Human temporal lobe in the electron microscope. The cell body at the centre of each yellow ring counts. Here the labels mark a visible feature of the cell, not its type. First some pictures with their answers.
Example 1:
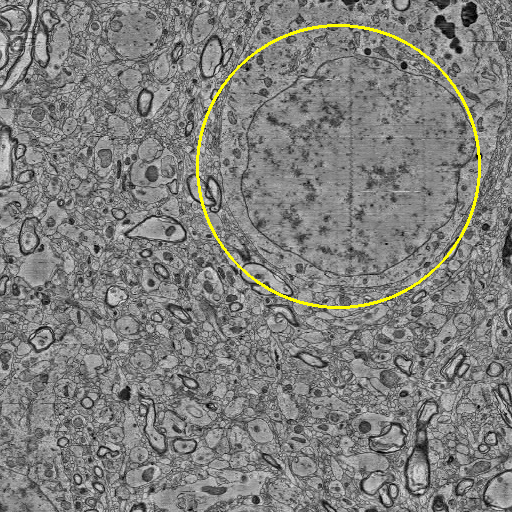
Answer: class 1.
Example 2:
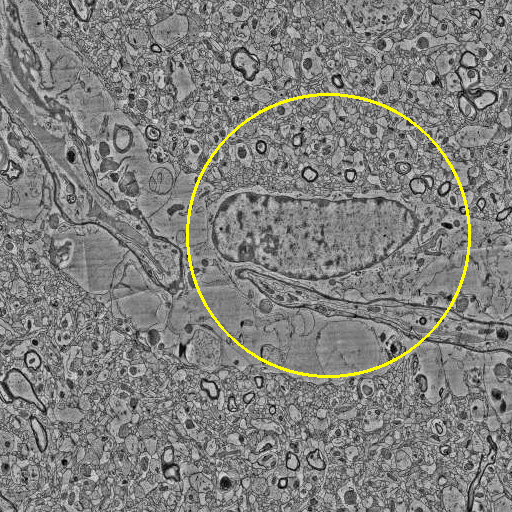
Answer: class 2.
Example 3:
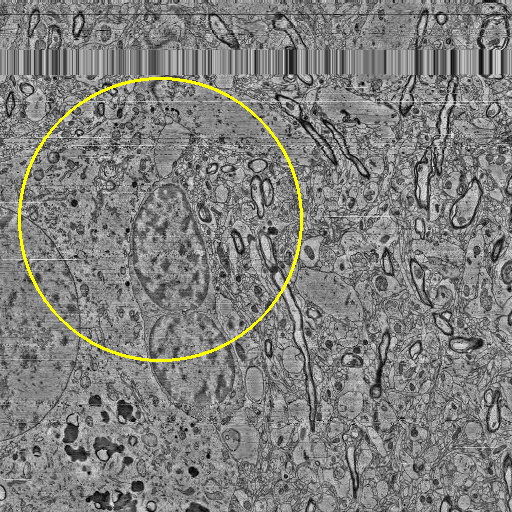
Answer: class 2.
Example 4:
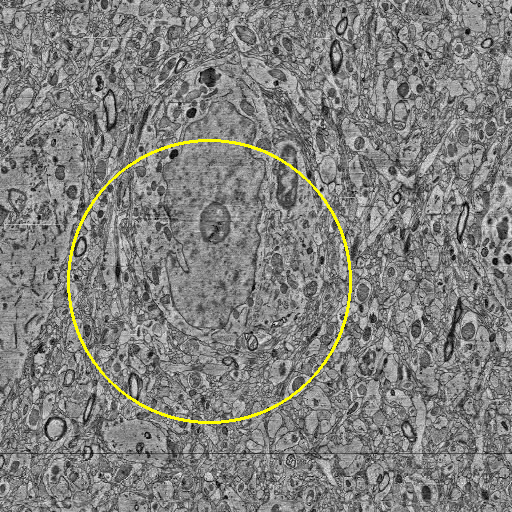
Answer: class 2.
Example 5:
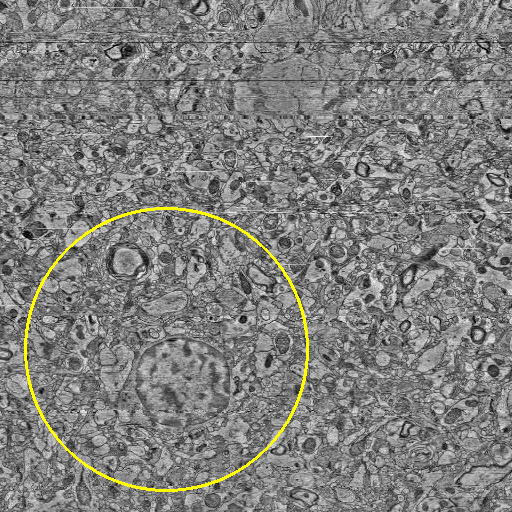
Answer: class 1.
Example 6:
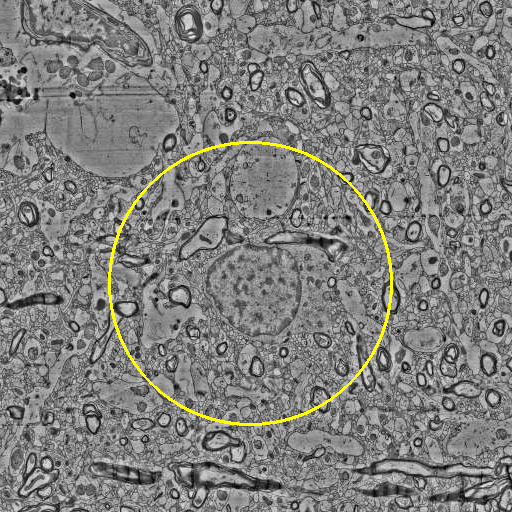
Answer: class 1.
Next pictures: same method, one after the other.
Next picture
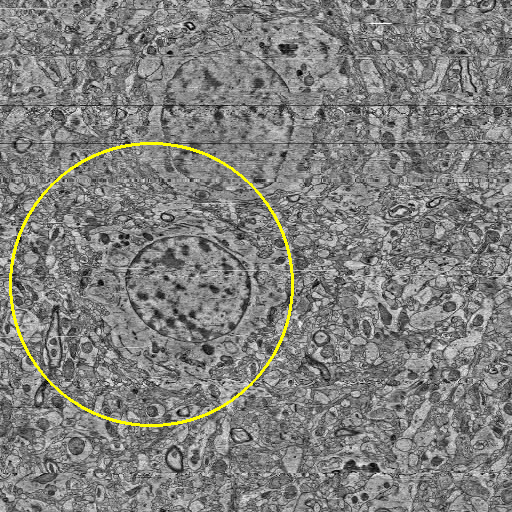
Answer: class 1.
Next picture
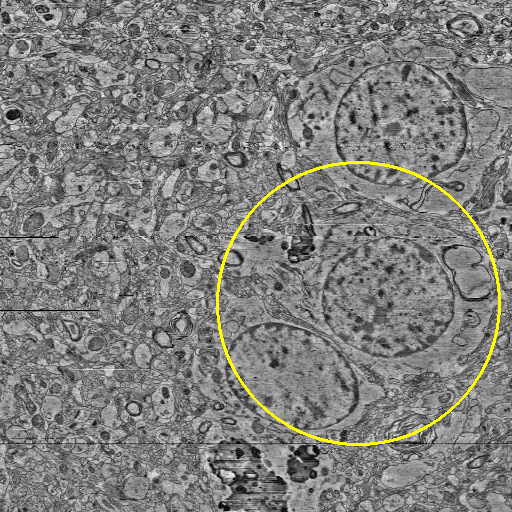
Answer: class 1.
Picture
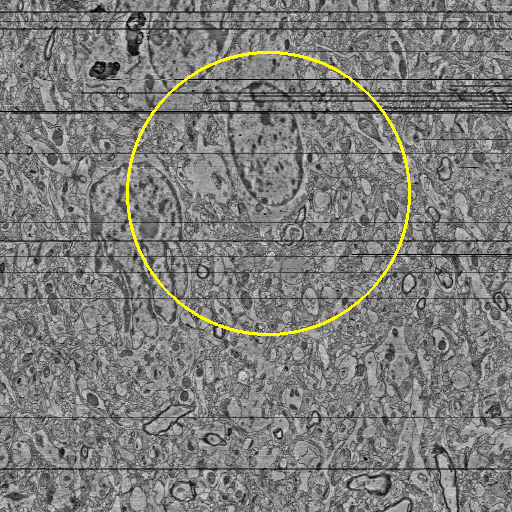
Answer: class 2.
